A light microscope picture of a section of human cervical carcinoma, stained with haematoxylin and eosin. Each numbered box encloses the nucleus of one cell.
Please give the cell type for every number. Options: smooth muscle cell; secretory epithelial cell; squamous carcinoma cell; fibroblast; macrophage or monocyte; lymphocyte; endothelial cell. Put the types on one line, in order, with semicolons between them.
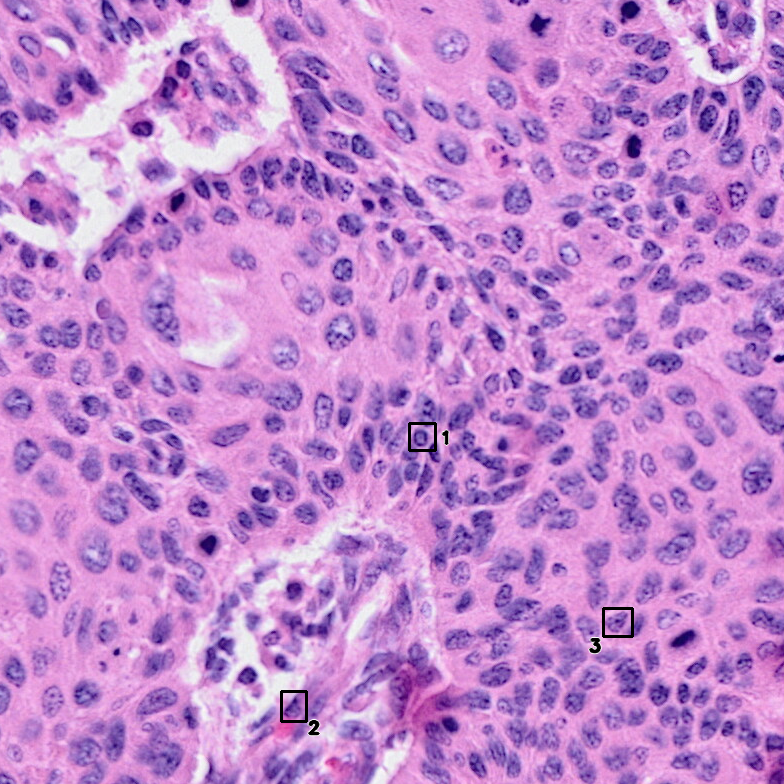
squamous carcinoma cell; endothelial cell; squamous carcinoma cell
